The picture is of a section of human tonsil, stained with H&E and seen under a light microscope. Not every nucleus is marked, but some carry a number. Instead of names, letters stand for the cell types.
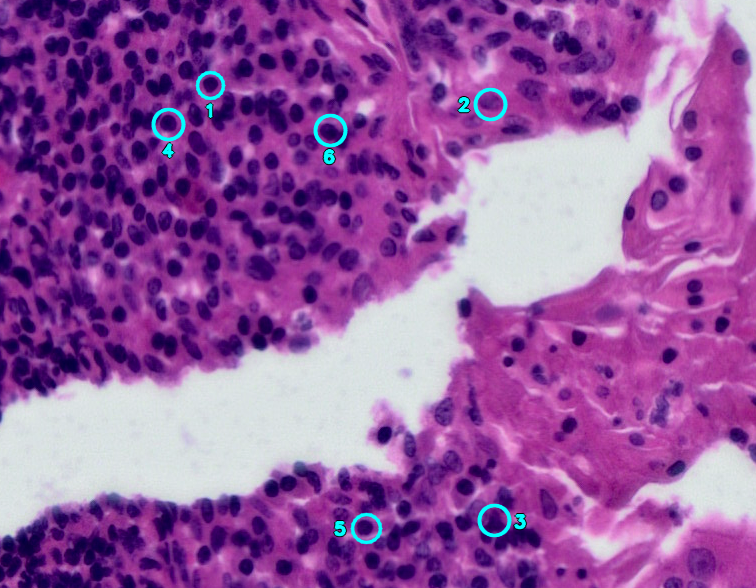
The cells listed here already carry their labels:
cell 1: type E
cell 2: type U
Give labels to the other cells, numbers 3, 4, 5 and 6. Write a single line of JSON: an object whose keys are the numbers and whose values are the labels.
{"3": "type U", "4": "type E", "5": "type E", "6": "type E"}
